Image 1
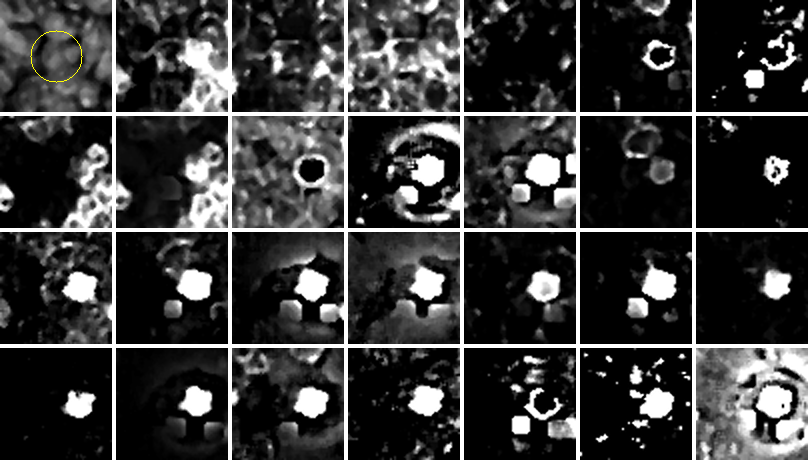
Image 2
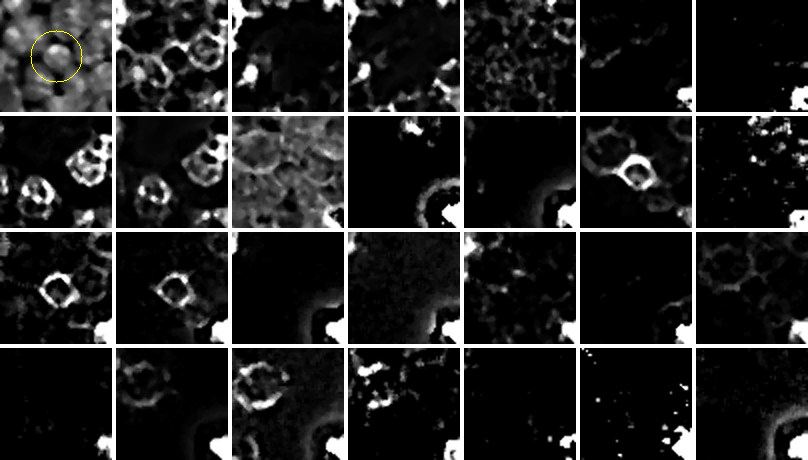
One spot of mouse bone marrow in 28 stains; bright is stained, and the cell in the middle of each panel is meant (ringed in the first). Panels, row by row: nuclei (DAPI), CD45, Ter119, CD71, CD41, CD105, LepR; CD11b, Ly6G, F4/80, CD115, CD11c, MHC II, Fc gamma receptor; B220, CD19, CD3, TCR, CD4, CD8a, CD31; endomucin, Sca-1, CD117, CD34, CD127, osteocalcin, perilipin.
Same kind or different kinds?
Same: B cells.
